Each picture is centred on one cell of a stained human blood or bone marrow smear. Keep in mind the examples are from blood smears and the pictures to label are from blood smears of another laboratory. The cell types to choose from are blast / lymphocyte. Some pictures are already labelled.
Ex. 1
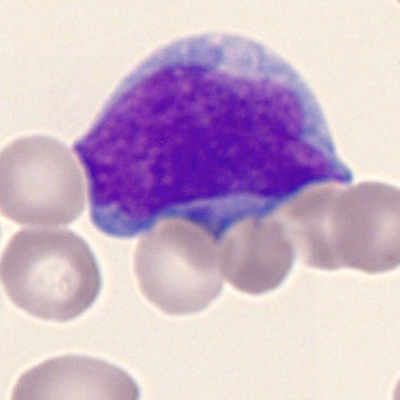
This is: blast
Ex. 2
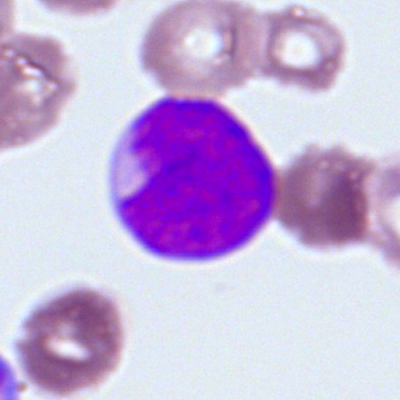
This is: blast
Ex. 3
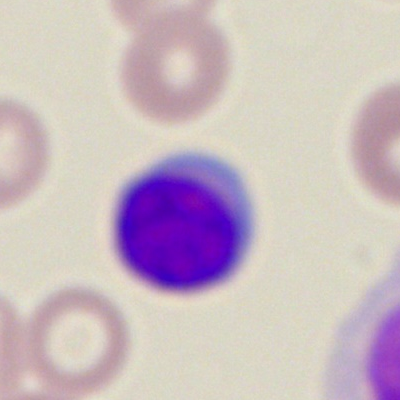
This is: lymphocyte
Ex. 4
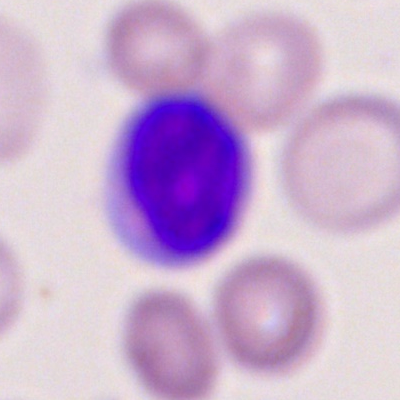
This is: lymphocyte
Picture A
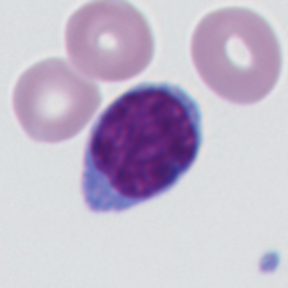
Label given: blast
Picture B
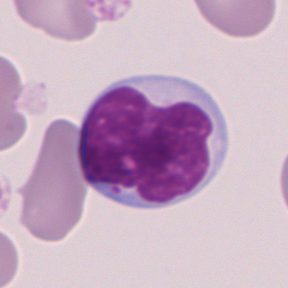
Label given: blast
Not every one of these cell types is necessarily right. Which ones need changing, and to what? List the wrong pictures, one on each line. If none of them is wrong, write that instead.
A: lymphocyte, not blast
B: lymphocyte, not blast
